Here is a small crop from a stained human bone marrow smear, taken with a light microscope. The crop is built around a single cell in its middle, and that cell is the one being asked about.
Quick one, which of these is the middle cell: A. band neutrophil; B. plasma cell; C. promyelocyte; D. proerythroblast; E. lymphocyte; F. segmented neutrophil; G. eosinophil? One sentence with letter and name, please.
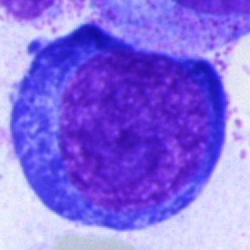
The cell occupying the centre is a proerythroblast; option D is thus the correct choice.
